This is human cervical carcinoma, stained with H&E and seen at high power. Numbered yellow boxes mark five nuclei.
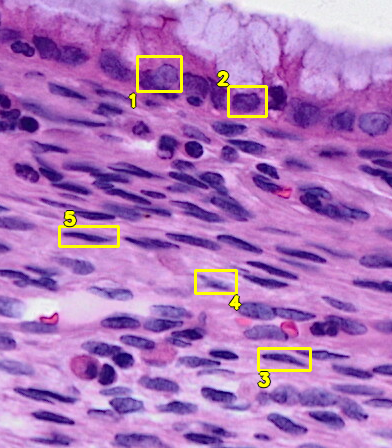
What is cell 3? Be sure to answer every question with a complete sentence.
The correct label for cell 3 is a fibroblast.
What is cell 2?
The numbered cell 2 is identified here as a secretory epithelial cell.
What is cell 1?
In this section, the cell tagged 1 is a secretory epithelial cell.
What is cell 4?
Within this field of view, the cell labelled 4 is a fibroblast.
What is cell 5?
The label 5 in this section denotes a fibroblast.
